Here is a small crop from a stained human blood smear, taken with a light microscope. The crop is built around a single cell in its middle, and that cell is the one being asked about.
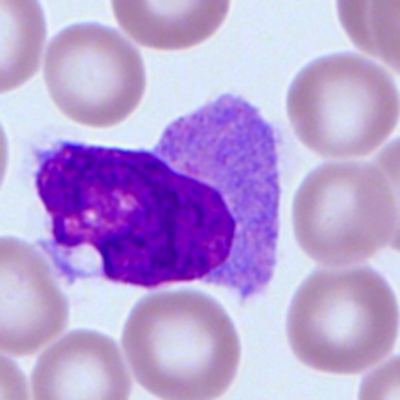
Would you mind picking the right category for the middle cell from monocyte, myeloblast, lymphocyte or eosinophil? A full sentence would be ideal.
Among the cells in view, the one in the middle is a monocyte.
